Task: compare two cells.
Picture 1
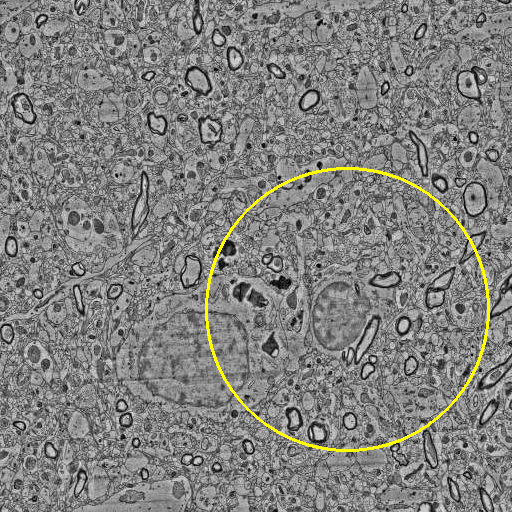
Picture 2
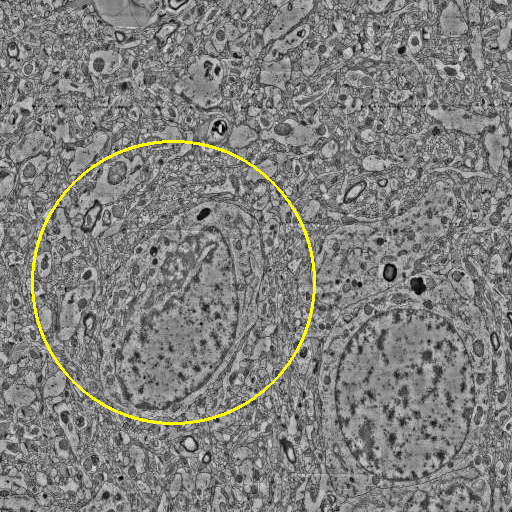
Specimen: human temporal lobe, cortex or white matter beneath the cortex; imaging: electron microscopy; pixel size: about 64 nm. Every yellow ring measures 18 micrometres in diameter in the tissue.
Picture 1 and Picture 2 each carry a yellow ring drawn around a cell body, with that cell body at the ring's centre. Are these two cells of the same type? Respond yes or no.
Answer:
no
